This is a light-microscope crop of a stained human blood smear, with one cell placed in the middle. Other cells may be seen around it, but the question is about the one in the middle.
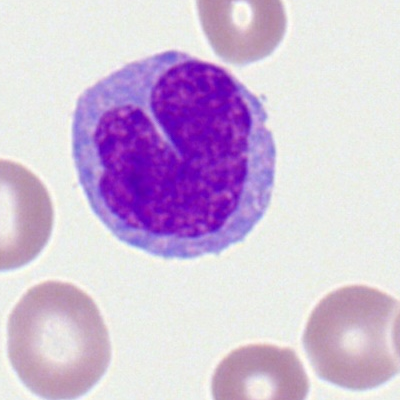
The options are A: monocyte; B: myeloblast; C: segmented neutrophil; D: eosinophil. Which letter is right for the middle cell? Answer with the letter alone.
A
